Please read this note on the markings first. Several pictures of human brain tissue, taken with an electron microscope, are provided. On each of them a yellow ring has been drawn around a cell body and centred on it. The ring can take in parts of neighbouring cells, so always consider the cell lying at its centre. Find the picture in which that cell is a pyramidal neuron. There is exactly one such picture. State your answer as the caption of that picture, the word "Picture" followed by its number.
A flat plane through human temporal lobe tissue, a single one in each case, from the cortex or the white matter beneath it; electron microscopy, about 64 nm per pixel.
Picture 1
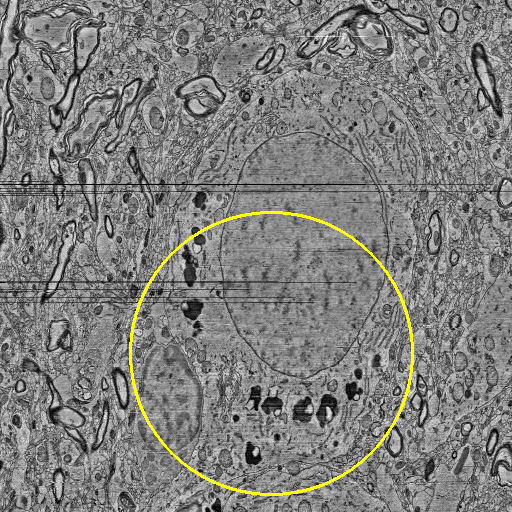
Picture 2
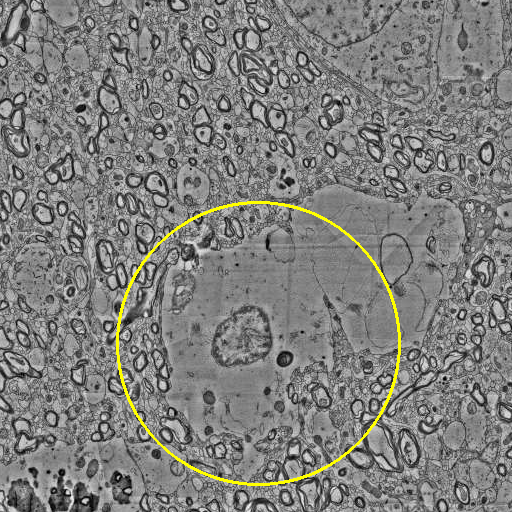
Picture 1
